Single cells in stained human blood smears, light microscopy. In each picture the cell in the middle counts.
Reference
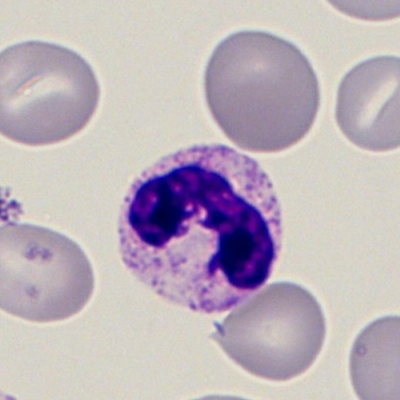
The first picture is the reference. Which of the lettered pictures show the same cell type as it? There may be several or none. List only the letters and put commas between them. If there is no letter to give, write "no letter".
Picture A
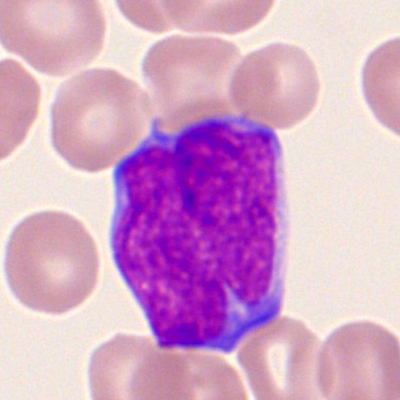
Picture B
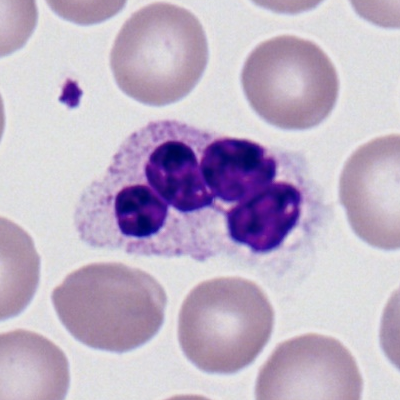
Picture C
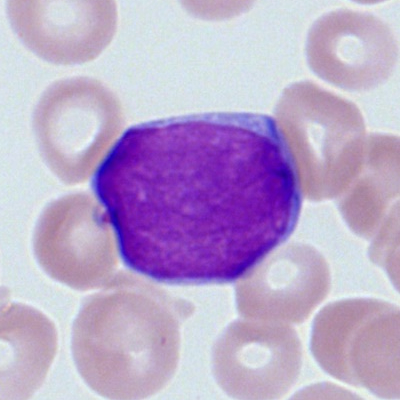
B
